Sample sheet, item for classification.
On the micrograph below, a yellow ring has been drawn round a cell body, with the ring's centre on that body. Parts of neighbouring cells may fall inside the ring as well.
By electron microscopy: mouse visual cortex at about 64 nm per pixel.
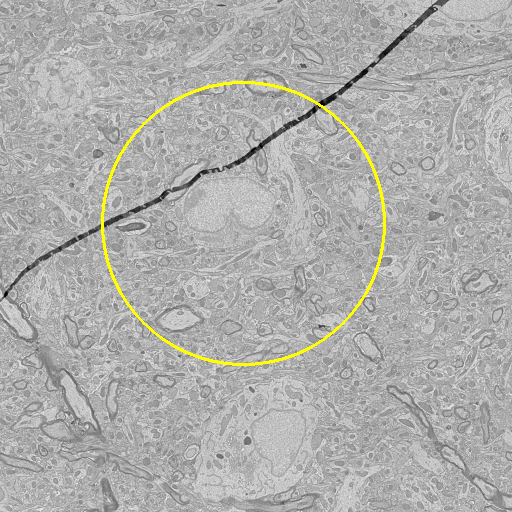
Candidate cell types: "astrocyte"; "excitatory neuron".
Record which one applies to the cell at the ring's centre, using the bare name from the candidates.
astrocyte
